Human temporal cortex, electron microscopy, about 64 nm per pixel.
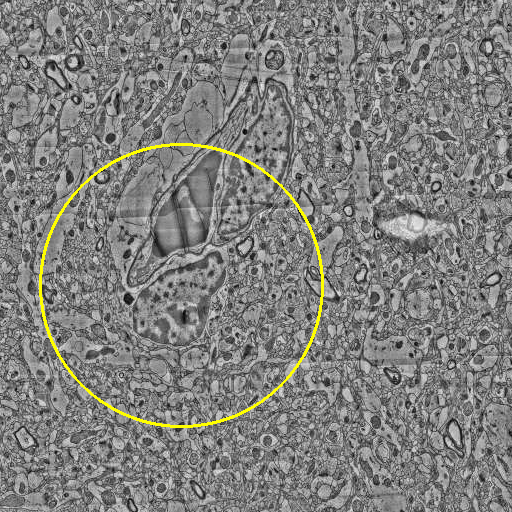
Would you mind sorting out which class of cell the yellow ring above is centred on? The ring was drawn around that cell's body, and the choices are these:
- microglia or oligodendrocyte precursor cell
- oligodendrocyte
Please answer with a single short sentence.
This is the cell body of a microglial cell or oligodendrocyte precursor cell.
